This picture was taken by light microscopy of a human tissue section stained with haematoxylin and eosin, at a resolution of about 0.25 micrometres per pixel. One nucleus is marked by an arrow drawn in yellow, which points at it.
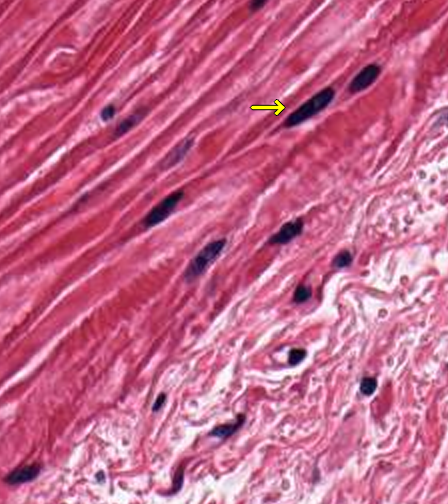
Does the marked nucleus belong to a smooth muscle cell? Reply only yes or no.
yes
